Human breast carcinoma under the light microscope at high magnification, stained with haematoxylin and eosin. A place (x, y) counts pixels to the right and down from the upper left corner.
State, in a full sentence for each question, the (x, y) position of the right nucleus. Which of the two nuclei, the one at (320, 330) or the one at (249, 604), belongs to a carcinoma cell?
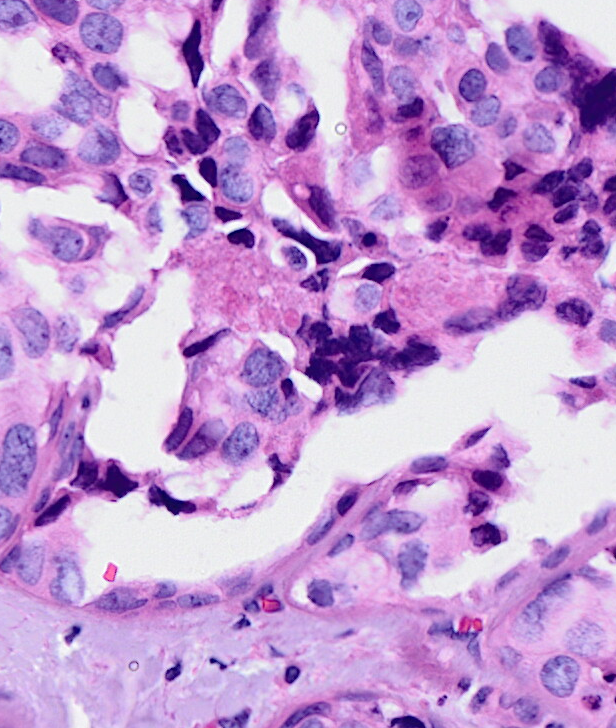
At (320, 330) lies the nucleus that belongs to a carcinoma cell.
